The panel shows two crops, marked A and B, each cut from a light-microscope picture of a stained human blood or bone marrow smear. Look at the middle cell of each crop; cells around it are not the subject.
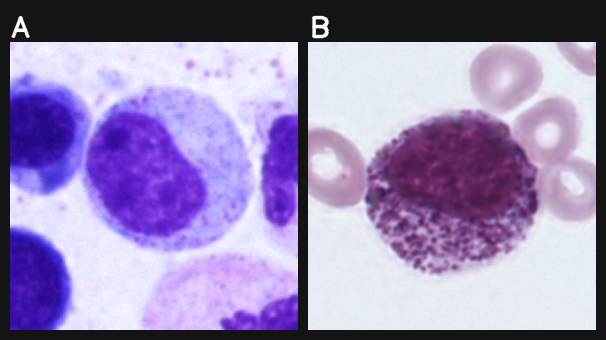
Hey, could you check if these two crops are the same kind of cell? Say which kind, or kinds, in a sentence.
Yes, in the two crops, myelocytes are the cells at the centre.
